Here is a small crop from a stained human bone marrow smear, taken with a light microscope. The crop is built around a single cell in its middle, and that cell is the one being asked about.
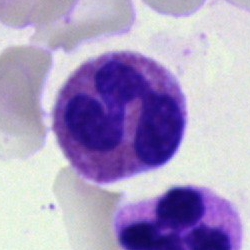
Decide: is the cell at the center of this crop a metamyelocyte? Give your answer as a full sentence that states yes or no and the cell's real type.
No, the cell in the middle is not a metamyelocyte but an eosinophil.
